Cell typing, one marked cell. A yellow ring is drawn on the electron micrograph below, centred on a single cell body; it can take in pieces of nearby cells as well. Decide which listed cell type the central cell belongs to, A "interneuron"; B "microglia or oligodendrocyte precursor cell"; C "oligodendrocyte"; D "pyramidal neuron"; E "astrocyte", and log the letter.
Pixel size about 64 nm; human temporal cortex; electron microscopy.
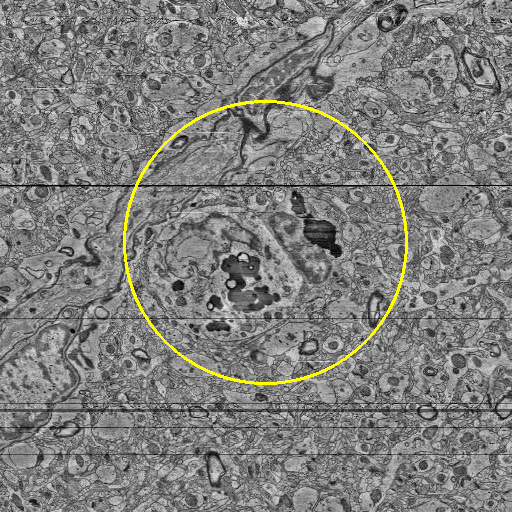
C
